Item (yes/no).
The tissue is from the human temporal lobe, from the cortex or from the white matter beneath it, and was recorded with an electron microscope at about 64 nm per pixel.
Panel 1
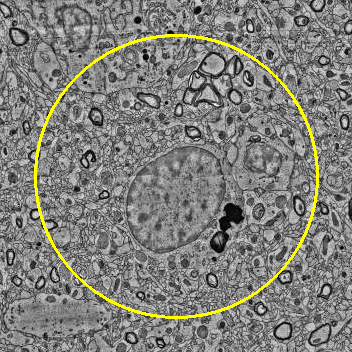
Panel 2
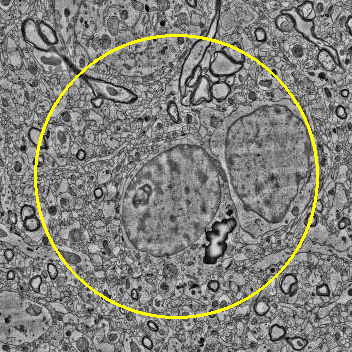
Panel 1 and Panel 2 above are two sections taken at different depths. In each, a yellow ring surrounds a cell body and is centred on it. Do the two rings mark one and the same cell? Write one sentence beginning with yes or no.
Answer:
Yes, the two yellow circles hold the same cell.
